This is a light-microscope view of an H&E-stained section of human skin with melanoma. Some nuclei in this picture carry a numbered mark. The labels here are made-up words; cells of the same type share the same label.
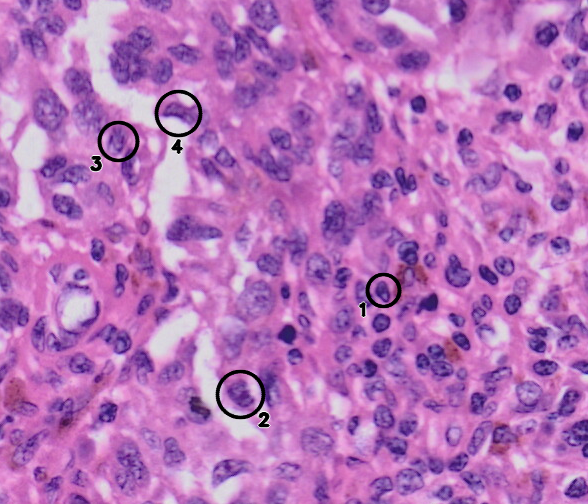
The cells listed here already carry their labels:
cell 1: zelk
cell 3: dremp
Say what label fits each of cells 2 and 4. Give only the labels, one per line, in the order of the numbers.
dremp
dremp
